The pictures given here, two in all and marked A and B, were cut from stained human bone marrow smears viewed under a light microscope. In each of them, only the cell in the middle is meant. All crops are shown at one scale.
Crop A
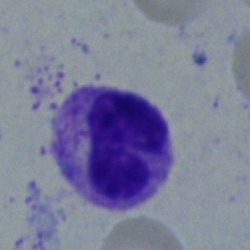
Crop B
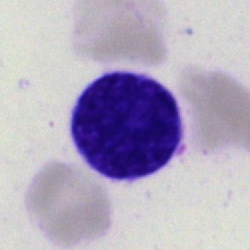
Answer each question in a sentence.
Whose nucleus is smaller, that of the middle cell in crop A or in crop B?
It is the nucleus in crop A; the one in crop B has about 1.5 times its area.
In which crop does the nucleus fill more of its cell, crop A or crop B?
It is the cell in crop B that is filled more by its nucleus.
